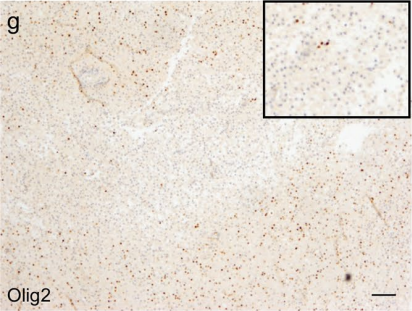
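Small round brown nuclei are scattered densely in parts of the field, particularly the lower and upper areas, while a pale band crossing the field holds far fewer of them. A small blood vessel with a pale wall lies in the upper left.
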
